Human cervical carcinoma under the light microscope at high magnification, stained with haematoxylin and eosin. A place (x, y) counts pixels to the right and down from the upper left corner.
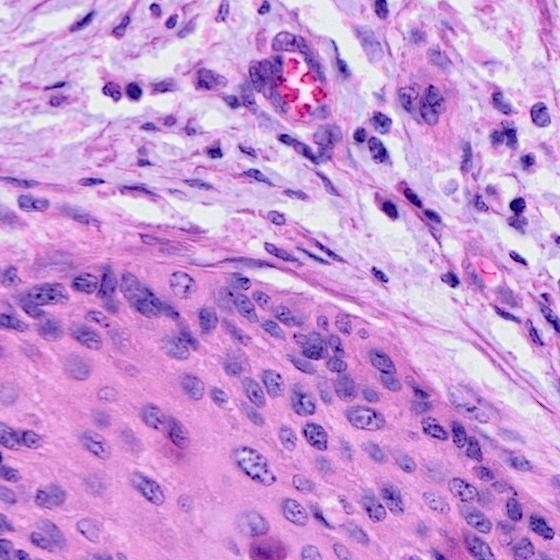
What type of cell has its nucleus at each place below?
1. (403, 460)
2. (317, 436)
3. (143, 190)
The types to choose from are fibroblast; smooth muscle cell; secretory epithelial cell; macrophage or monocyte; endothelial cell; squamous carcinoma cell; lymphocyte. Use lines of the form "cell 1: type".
cell 1: squamous carcinoma cell
cell 2: squamous carcinoma cell
cell 3: fibroblast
